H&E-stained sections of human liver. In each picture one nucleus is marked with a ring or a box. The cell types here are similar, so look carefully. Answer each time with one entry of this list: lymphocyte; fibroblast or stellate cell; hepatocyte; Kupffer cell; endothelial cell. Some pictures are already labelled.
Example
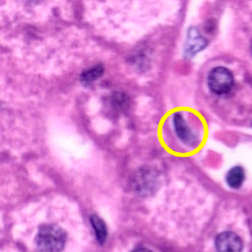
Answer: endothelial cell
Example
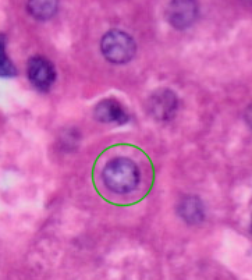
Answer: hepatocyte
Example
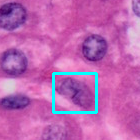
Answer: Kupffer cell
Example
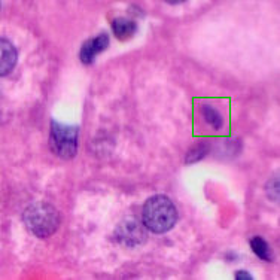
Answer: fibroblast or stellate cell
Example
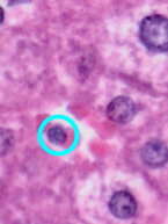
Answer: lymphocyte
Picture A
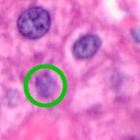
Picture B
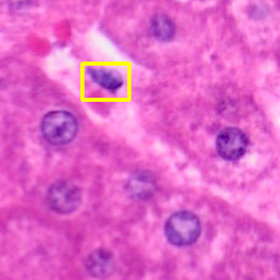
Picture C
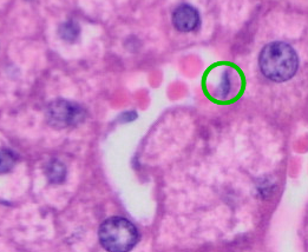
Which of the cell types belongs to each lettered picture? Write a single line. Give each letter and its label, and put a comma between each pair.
A hepatocyte, B endothelial cell, C endothelial cell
